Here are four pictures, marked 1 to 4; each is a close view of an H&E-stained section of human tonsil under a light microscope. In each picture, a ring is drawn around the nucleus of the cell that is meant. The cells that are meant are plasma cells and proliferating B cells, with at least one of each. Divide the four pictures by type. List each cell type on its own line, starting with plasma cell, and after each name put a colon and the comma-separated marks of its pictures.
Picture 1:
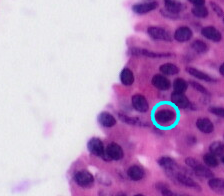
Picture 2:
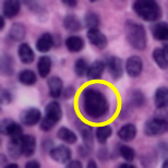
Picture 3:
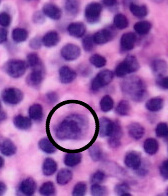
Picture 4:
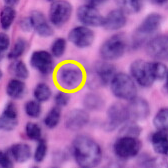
plasma cell: 1
proliferating B cell: 2, 3, 4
